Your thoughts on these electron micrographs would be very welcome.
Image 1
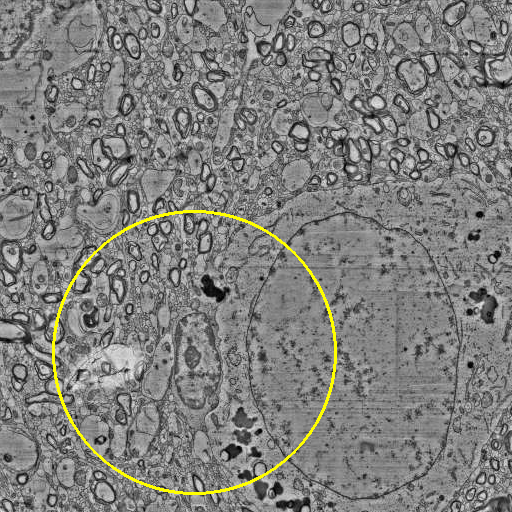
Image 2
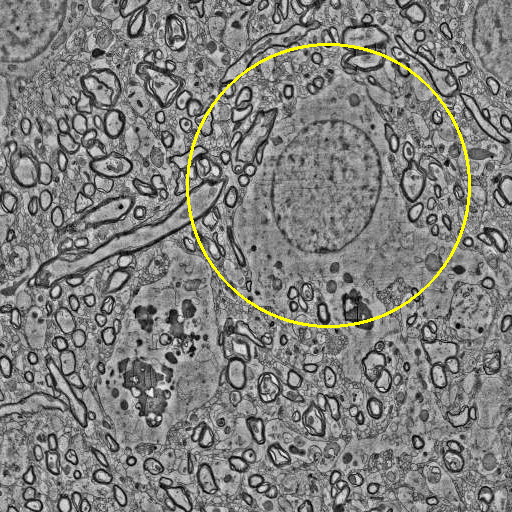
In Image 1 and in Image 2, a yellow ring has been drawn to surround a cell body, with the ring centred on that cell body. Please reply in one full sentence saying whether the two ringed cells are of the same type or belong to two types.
The ringed cells in Image 1 and Image 2 belong to two types.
